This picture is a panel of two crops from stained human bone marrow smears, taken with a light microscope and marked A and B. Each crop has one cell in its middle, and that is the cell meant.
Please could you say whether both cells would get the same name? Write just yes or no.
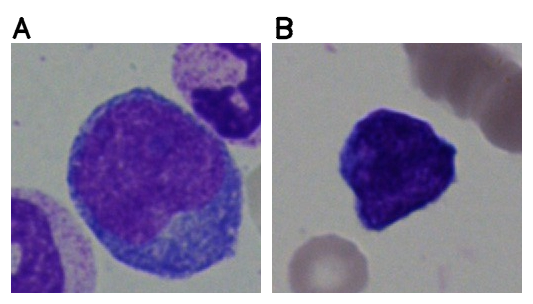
yes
